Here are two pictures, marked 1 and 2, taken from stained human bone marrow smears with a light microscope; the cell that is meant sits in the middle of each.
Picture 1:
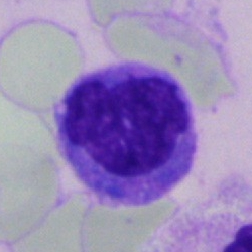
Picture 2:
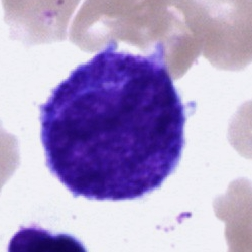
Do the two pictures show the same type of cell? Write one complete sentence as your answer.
No; the cell in picture 1 is a monocyte, while the one in picture 2 is a promyelocyte.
